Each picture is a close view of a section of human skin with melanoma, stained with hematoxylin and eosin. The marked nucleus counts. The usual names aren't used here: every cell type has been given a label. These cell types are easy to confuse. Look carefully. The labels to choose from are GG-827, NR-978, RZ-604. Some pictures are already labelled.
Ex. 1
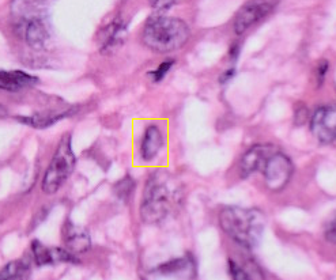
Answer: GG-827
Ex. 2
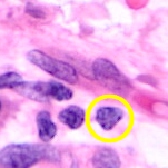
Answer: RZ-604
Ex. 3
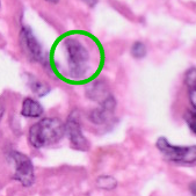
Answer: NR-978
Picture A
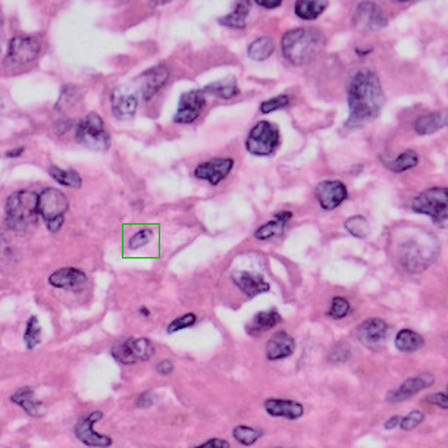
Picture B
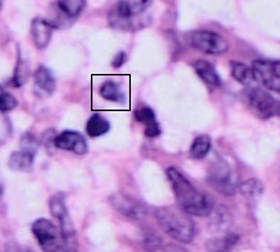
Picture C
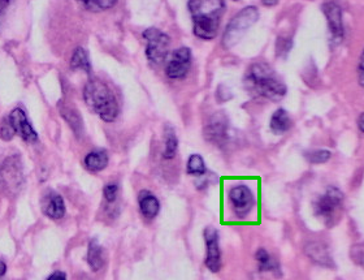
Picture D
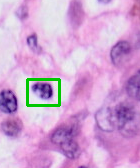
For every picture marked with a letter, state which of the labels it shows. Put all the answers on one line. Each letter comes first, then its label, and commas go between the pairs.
A GG-827, B RZ-604, C GG-827, D RZ-604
